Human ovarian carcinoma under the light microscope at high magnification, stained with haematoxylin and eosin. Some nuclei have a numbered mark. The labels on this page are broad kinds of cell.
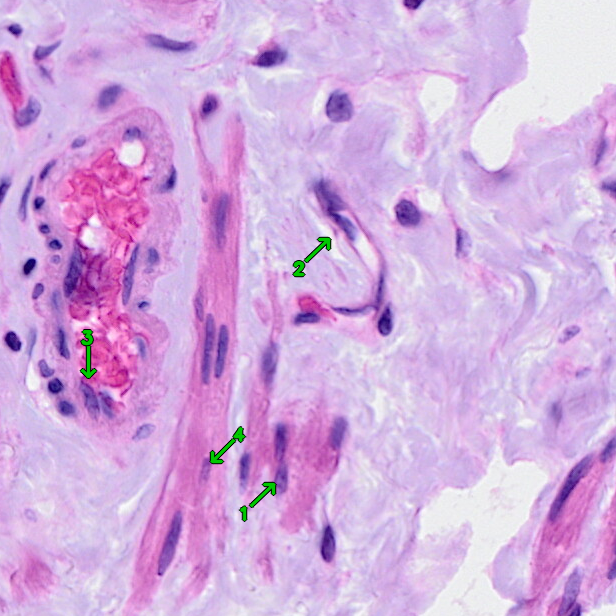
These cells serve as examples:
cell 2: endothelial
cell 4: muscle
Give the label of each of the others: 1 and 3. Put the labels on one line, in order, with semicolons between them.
muscle; endothelial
